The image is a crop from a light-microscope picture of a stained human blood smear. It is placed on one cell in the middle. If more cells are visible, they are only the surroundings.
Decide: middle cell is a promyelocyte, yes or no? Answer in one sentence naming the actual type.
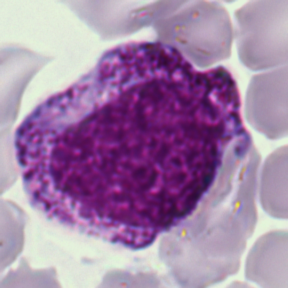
Yes, the cell that lies centrally is a promyelocyte.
